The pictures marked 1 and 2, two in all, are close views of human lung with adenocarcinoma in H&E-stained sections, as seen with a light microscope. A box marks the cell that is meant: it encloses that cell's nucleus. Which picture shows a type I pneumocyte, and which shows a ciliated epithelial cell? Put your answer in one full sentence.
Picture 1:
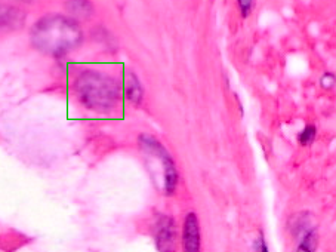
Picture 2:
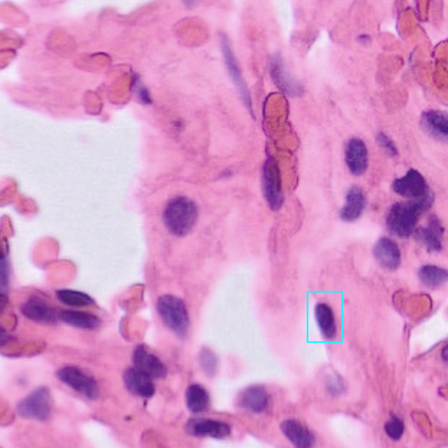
The cell in picture 1 is a ciliated epithelial cell, and the one in picture 2 is a type I pneumocyte.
